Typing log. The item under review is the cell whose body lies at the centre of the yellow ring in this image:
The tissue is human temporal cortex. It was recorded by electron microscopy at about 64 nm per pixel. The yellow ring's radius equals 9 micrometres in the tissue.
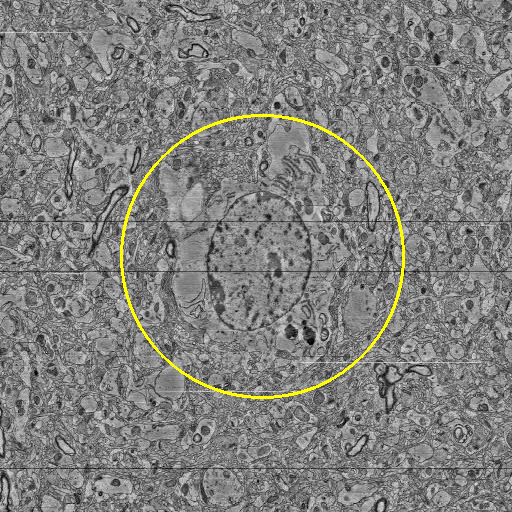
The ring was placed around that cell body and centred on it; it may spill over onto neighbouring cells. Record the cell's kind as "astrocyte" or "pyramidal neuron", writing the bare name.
astrocyte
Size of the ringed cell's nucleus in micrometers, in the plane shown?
About 9 by 7 micrometres in this plane.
